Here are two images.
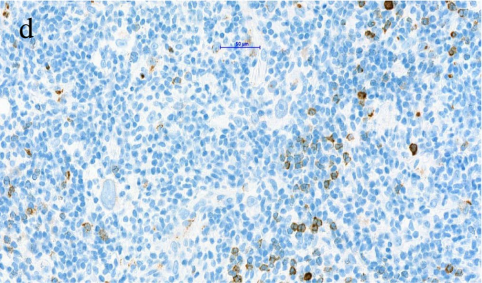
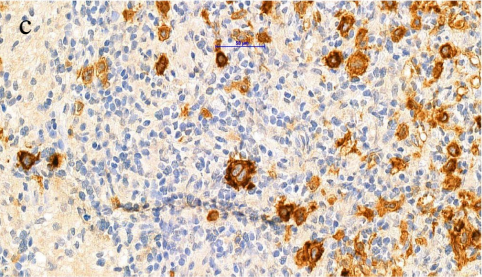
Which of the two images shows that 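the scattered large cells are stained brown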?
the second image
